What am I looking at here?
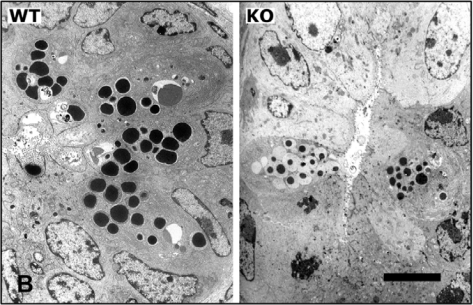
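These electron micrographs show Paneth cells at the base of intestinal crypts, seen at the level of their secretory granules. On the left, several cells are filled with numerous round granules that are almost black, densely packed and of varied size, many quite large, lying above nuclei with darker clumped chromatin at their edges. On the right, far fewer granules are present; they gather in only a couple of cells and are mostly small, some paler or with a lighter rim. Much of the surrounding cytoplasm there looks pale and empty of granules, and the narrow crypt lumen runs between the cells.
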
